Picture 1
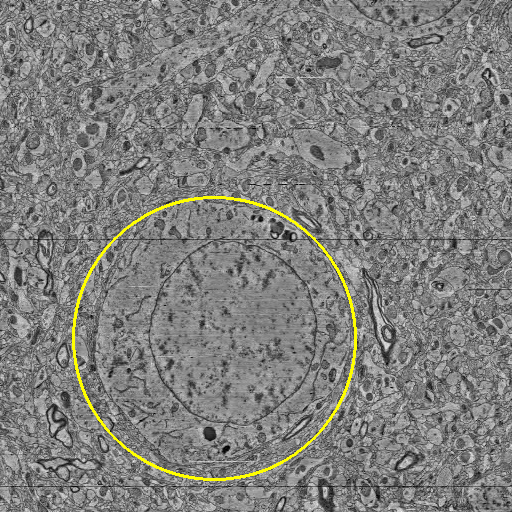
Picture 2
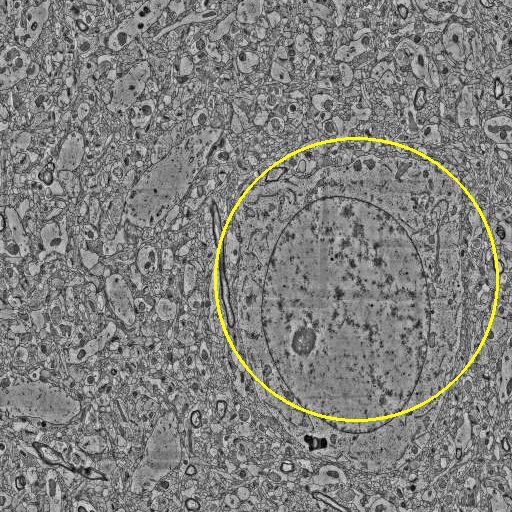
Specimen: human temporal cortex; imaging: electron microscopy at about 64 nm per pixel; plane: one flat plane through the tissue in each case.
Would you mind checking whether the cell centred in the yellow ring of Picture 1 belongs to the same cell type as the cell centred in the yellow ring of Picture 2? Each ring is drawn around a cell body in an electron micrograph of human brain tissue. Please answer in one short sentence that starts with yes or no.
Yes, both cells are of the same type.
